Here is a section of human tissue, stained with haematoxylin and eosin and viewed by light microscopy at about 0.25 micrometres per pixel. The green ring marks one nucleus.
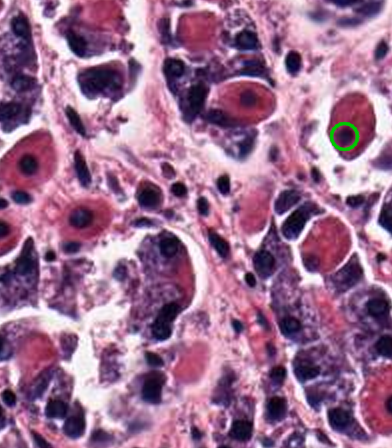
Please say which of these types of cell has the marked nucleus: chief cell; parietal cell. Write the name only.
parietal cell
